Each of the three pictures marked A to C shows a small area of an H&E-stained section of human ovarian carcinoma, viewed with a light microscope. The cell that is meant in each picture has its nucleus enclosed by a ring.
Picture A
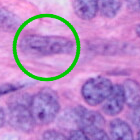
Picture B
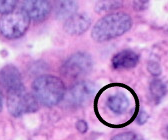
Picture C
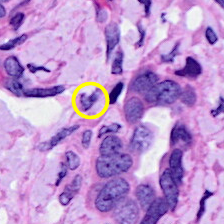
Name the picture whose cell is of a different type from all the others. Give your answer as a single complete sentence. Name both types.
The different one is picture B; it shows a “macrophage or monocyte”, whereas all the others show fibroblasts.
